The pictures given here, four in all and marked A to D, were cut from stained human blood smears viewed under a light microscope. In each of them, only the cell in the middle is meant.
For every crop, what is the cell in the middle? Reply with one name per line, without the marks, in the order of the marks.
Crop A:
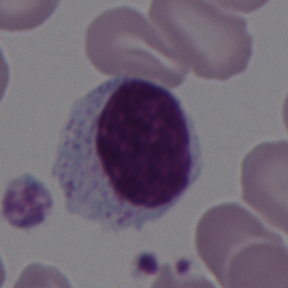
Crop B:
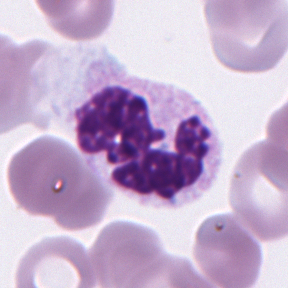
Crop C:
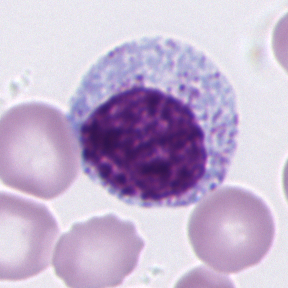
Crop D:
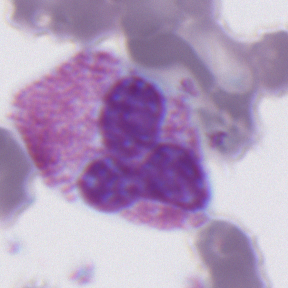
large granular lymphocyte
segmented neutrophil
myelocyte
eosinophil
